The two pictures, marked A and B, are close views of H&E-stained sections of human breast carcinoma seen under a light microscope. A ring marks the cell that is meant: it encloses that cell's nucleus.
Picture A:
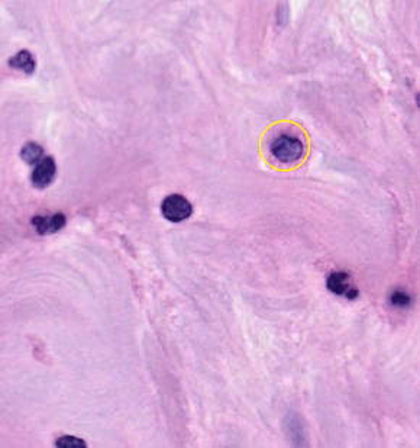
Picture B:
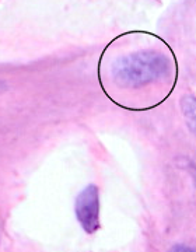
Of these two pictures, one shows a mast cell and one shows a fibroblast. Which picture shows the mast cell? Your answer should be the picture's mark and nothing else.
A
